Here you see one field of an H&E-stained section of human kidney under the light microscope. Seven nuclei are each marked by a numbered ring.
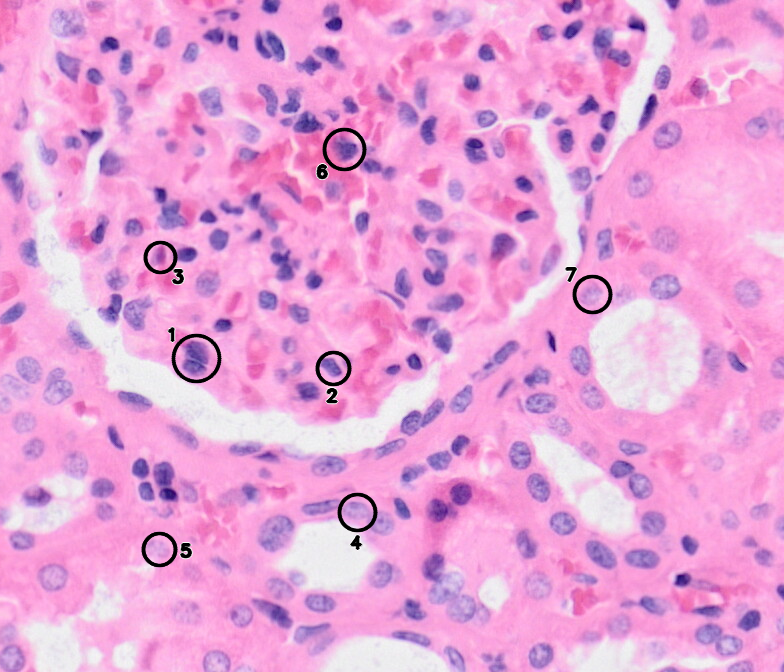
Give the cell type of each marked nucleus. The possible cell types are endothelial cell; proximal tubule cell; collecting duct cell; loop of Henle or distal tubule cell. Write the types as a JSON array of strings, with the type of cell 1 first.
["endothelial cell", "endothelial cell", "endothelial cell", "collecting duct cell", "proximal tubule cell", "endothelial cell", "loop of Henle or distal tubule cell"]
